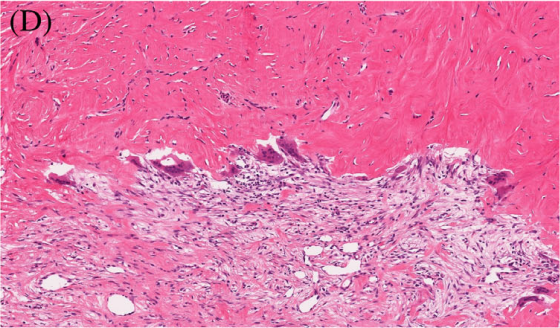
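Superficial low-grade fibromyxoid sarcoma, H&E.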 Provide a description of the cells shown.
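Dense, hyalinized pink collagen fills the upper part of the field, and along its lower border lie several multinucleated giant cells with clustered dark nuclei. Beneath them is looser, paler stroma with scattered spindle cells and small vessels.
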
